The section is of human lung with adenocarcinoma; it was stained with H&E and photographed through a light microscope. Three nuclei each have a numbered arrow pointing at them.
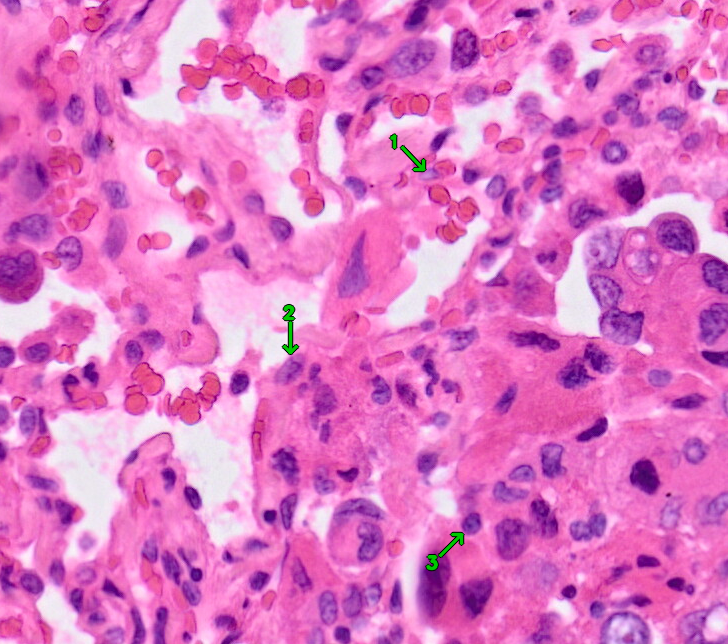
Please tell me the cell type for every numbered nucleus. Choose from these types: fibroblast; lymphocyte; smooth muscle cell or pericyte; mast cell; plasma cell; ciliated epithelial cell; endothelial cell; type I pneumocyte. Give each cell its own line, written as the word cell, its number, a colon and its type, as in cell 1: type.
cell 1: endothelial cell
cell 2: type I pneumocyte
cell 3: lymphocyte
